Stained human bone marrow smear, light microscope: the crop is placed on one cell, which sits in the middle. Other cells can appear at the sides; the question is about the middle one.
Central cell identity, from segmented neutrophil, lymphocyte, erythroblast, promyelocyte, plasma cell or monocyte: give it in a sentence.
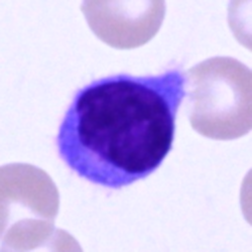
Here the cell in the middle is a lymphocyte.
